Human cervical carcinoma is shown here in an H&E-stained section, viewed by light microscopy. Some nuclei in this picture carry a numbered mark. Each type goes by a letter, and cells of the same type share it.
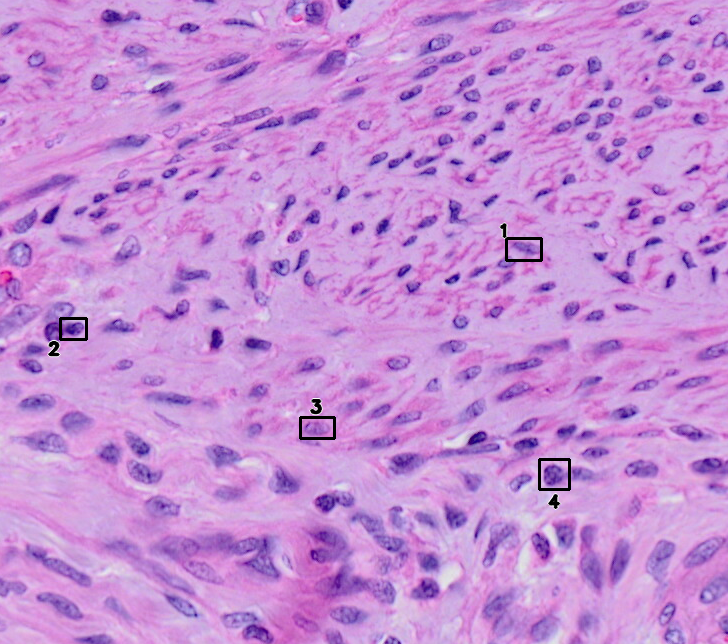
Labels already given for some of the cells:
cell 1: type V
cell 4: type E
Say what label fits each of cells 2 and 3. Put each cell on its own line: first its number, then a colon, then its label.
2: type E
3: type V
